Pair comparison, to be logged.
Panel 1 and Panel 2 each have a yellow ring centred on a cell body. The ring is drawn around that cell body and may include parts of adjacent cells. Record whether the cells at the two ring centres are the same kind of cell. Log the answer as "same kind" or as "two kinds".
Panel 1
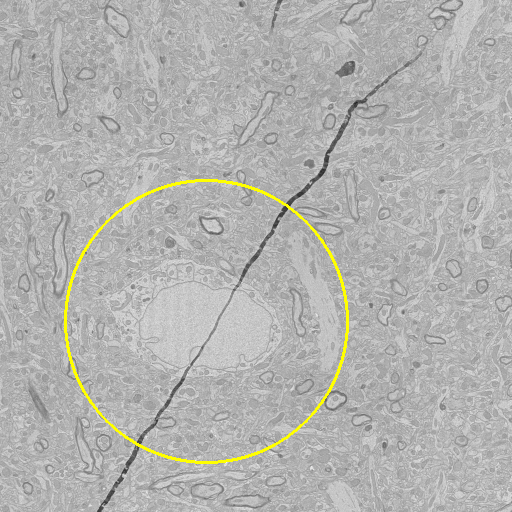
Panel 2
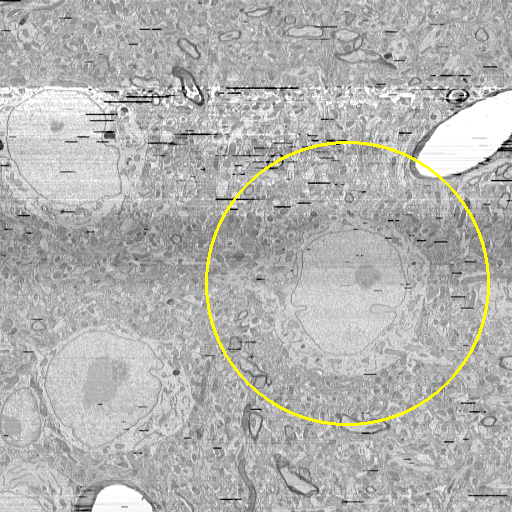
two kinds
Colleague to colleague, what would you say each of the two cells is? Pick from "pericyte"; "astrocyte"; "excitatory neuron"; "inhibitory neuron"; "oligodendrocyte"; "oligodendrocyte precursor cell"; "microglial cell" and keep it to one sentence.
The cell in the first picture is an inhibitory neuron; the second picture's cell is an excitatory neuron.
